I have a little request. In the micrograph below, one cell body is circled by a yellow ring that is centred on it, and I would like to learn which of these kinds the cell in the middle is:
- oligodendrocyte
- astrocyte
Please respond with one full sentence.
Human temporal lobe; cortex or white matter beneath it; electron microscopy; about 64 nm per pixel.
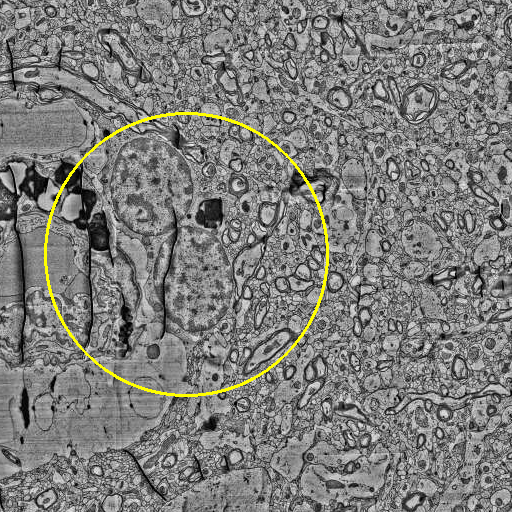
The cell sitting in the middle of the yellow ring in the micrograph is an oligodendrocyte.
